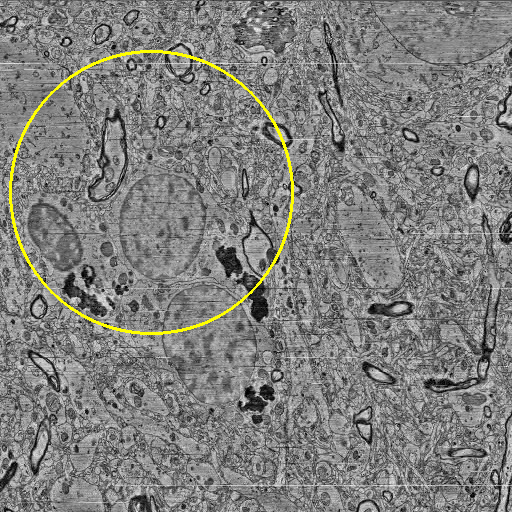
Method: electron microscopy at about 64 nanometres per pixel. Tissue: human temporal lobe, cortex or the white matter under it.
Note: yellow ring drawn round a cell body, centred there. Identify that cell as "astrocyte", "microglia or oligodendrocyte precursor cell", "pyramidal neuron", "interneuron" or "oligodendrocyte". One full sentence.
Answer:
The cell in the middle of the ring is an oligodendrocyte.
